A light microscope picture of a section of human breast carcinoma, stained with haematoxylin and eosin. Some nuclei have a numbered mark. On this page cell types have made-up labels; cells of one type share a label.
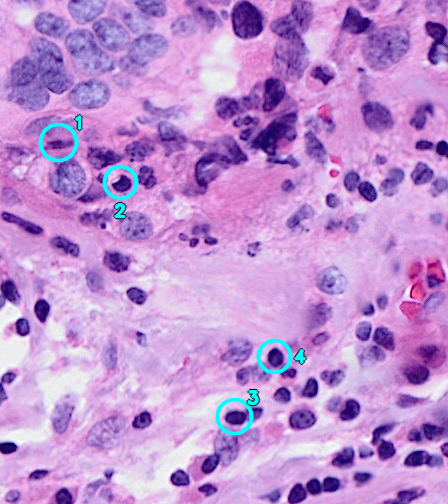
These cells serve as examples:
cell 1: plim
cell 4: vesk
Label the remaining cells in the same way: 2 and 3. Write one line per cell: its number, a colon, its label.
2: vesk
3: vesk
